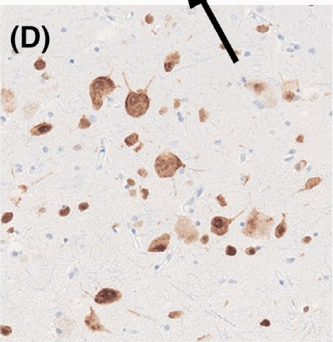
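The stained cells vary greatly in size. Several are large with round to polygonal bodies and short stained processes, and some of these show a paler, blue-tinged nucleus. Many others are small, densely stained round profiles. The cells show no common orientation and no regular spacing, unlike orderly cortex. Small blue nuclei of unstained cells lie between them.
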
